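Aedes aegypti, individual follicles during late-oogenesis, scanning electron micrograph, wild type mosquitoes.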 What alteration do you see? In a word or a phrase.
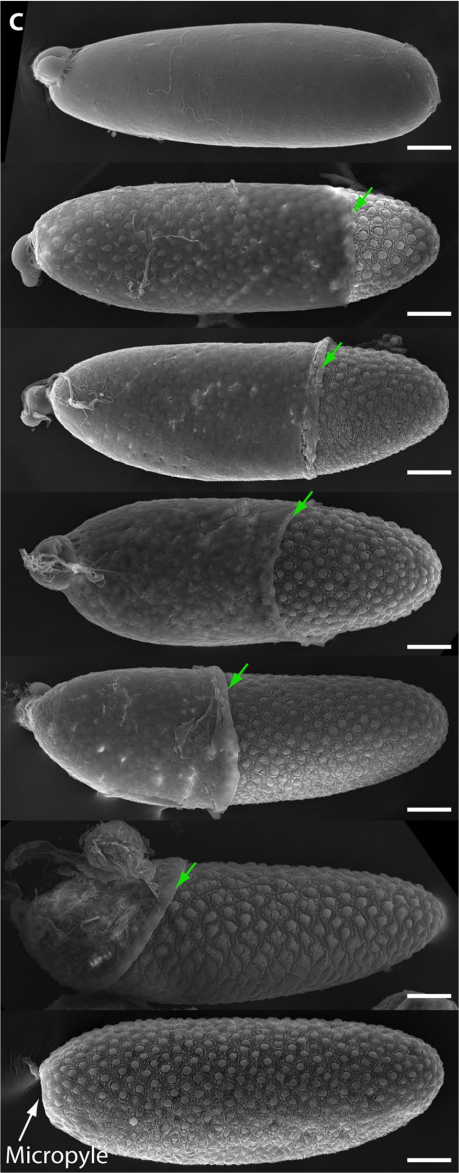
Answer: gradual shedding of the follicular epithelial cell layer from the posterior to anterior direction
